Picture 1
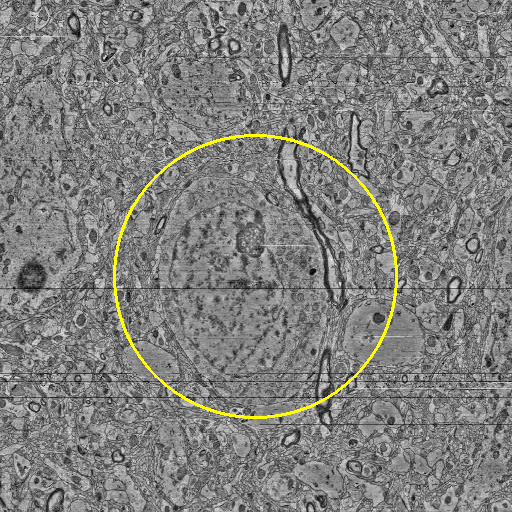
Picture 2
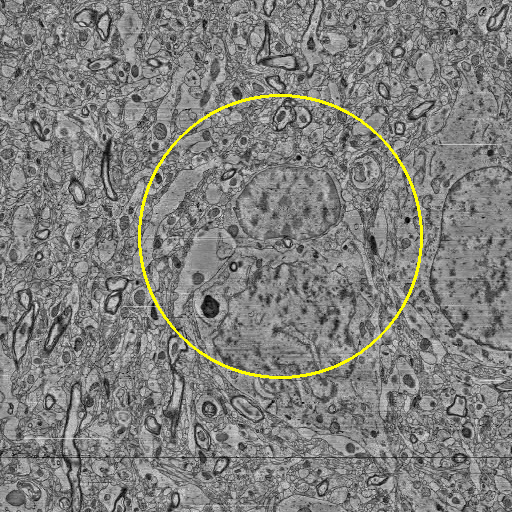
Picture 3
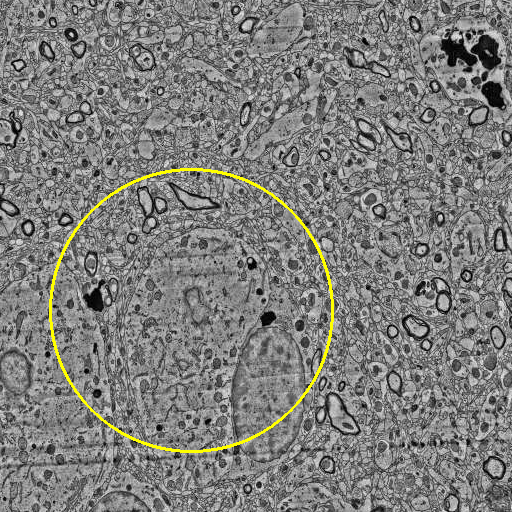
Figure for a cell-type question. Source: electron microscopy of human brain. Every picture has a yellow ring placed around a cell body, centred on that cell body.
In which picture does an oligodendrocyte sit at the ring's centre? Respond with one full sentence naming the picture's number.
The cell in the middle of the ring in picture 2 is the one sought.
